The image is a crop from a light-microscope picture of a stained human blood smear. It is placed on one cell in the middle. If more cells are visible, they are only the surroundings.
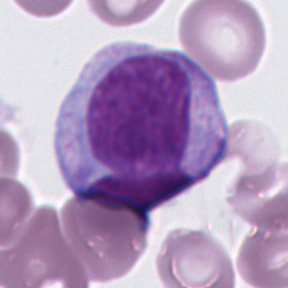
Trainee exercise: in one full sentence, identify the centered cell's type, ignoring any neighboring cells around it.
This crop has an atypical promyelocyte at its centre.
